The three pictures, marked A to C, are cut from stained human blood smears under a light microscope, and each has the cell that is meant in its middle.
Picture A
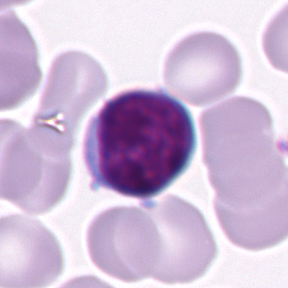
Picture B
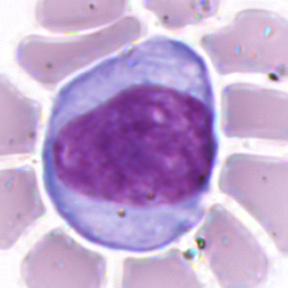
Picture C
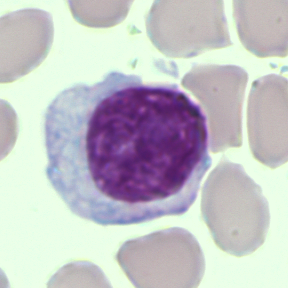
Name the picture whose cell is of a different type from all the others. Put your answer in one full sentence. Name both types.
The others show plasma cells, but picture A shows a typical lymphocyte.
